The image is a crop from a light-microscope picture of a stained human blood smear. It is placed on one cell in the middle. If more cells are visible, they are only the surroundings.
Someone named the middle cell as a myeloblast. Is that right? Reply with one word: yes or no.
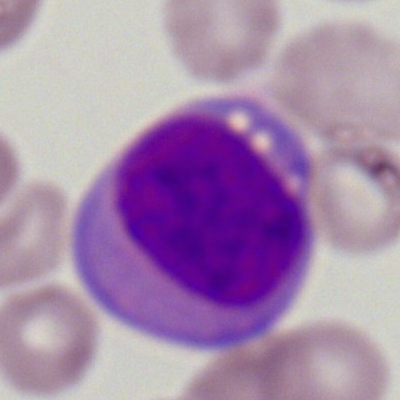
yes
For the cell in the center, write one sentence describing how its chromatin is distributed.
Just so you know, its chromatin is coarsely clumped.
